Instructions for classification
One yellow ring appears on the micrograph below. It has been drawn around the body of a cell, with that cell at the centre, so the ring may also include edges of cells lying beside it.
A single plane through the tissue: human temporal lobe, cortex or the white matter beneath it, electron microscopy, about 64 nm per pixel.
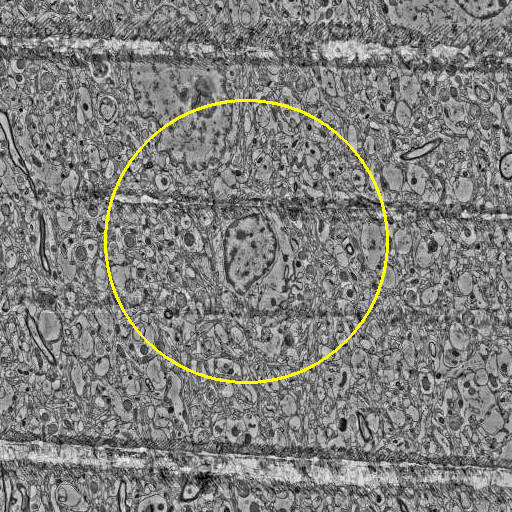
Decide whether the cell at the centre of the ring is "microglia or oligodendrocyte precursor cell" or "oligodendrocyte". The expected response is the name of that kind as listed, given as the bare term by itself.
microglia or oligodendrocyte precursor cell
